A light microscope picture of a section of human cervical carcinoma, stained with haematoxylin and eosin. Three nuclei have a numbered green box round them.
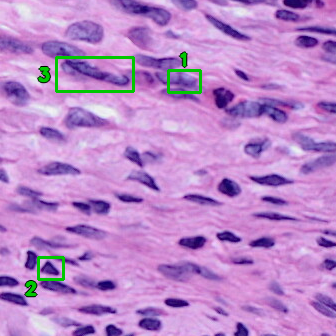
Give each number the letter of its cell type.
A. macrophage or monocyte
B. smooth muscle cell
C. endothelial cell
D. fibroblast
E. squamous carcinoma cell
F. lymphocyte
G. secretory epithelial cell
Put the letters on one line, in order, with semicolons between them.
C; D; C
